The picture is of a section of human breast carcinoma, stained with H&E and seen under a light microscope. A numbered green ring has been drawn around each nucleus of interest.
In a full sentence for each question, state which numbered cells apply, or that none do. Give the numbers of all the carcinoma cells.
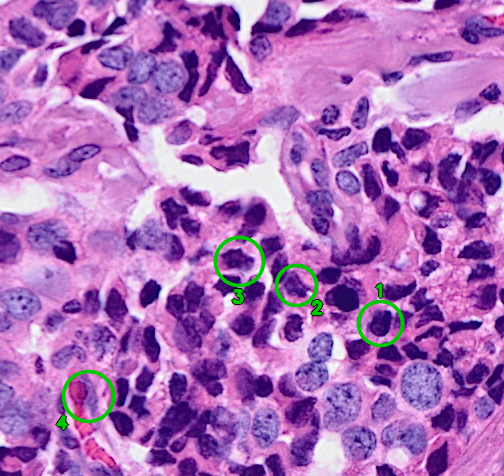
The cells with labels 1, 2 and 3 are carcinoma cells.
